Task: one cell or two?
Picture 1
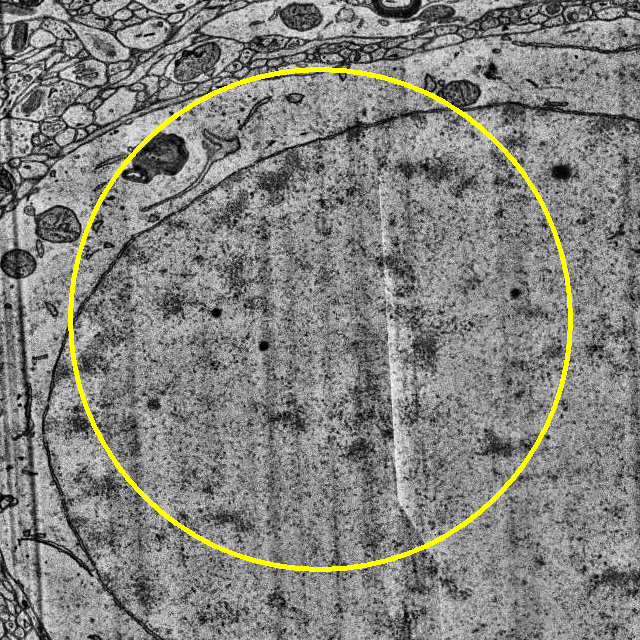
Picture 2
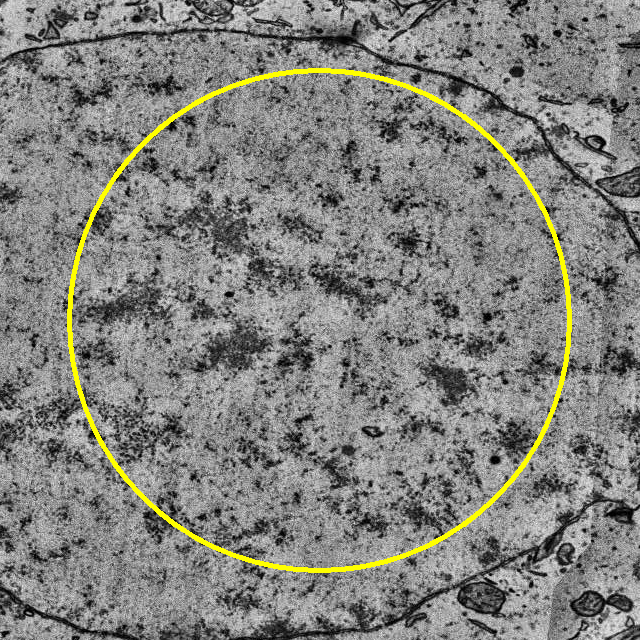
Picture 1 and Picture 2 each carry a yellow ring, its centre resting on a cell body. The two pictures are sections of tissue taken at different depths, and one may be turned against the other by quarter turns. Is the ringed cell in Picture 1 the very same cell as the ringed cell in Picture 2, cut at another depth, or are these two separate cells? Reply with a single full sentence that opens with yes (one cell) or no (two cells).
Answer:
No, the two yellow rings surround two different cells.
